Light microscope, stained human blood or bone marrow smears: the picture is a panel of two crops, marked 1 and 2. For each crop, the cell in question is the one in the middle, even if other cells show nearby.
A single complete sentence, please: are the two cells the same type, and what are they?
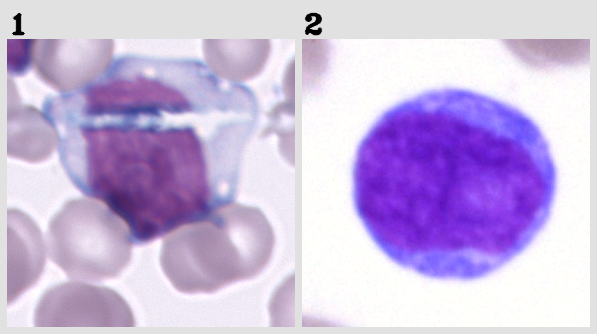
Yes, both crops show blasts, the one and the other.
